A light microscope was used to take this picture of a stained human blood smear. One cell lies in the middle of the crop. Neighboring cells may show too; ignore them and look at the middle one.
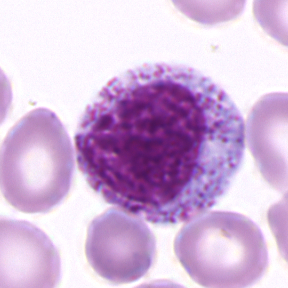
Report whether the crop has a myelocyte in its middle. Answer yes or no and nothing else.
yes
